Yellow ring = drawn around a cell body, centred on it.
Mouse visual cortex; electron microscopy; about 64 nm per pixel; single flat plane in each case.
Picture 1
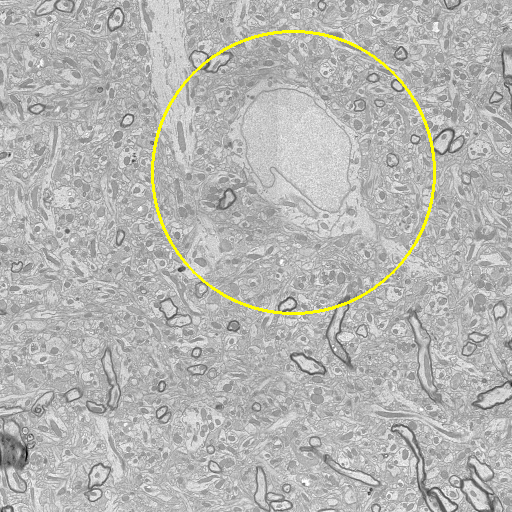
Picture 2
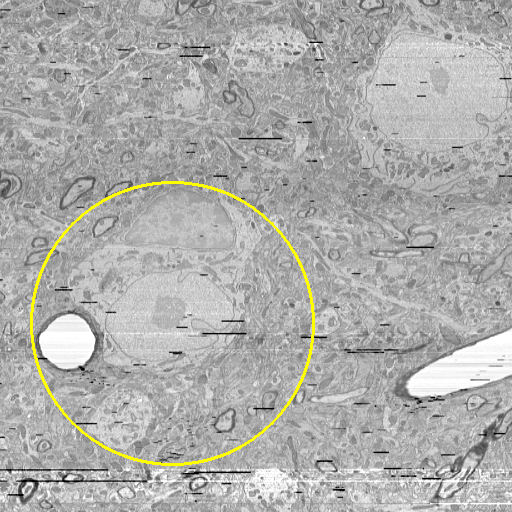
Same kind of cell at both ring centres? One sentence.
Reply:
Yes, they are the same kind of cell.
